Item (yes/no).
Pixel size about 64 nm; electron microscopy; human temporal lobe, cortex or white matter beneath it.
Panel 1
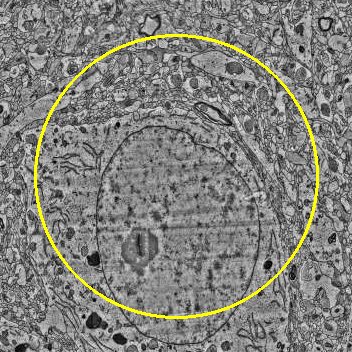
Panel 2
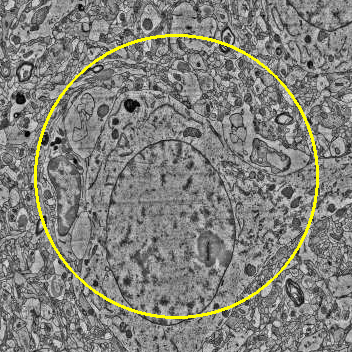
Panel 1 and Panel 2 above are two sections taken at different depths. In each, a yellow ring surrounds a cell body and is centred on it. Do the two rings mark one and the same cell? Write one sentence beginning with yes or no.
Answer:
No, two separate cells are outlined by these yellow rings.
